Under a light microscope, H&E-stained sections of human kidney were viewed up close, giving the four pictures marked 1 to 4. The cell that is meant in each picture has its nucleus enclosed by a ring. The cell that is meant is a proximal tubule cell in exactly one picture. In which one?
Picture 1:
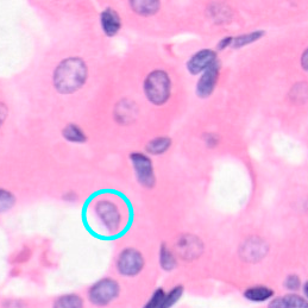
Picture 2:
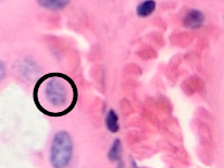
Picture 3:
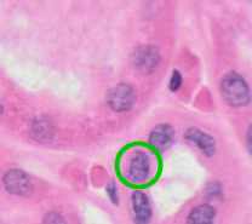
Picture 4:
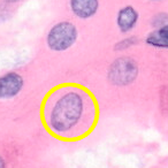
4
